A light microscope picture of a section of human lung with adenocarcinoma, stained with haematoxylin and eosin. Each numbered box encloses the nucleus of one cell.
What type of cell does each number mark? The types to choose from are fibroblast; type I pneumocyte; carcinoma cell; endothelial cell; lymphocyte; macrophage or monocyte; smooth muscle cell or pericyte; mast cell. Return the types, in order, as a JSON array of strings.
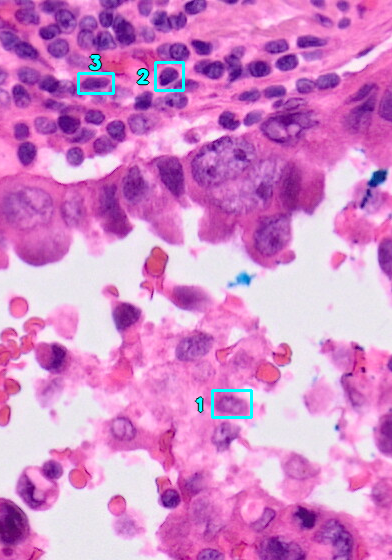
["macrophage or monocyte", "lymphocyte", "lymphocyte"]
